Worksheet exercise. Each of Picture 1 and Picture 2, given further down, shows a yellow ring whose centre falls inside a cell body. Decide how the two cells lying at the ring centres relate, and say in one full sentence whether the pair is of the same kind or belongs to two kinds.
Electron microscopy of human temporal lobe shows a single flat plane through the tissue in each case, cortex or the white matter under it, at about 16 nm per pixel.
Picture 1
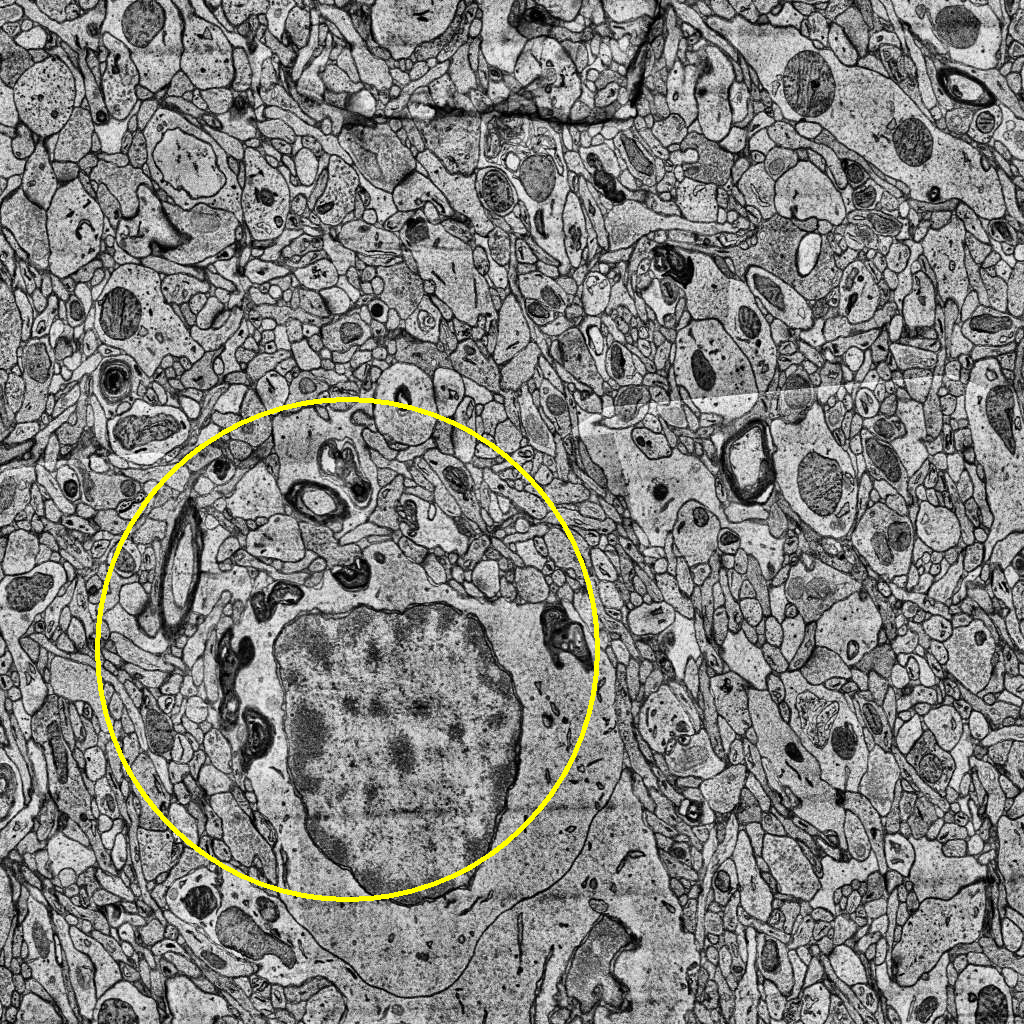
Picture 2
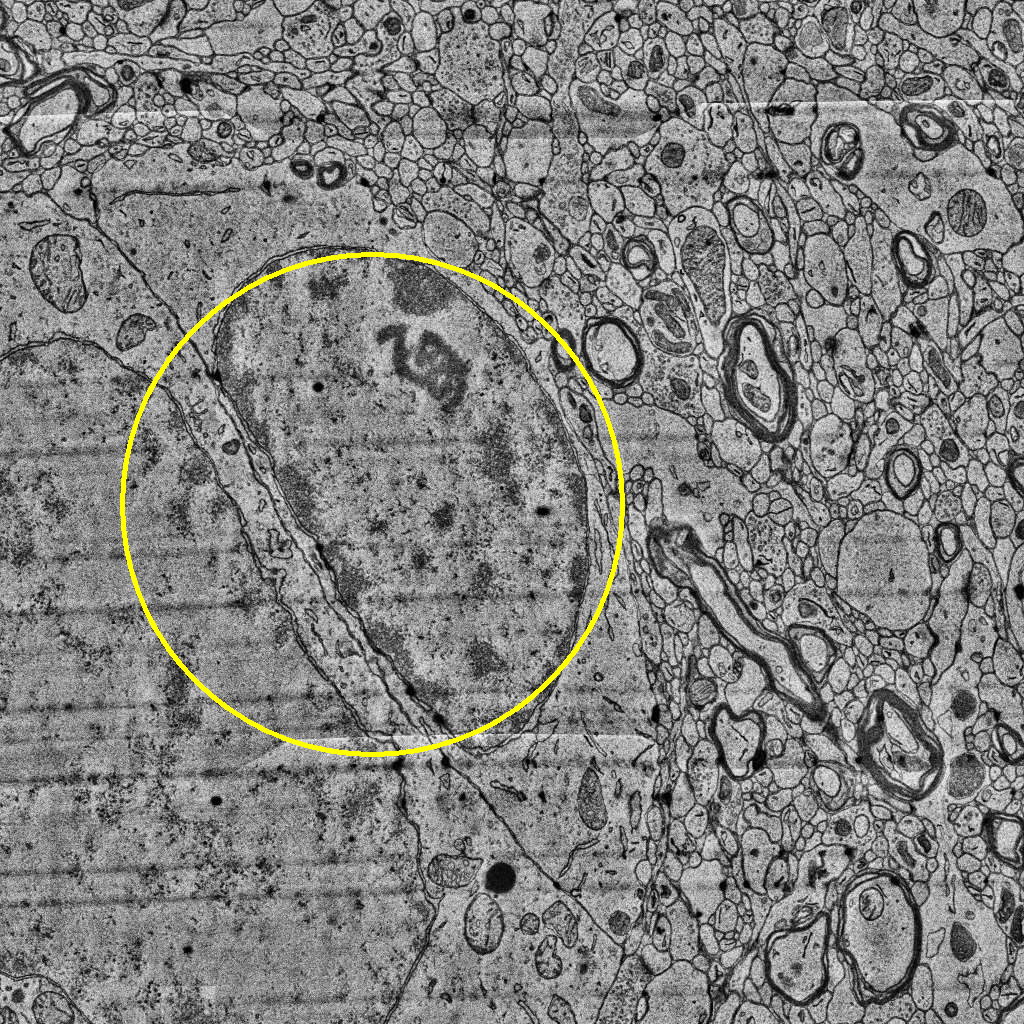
The cells at the ring centres in Picture 1 and Picture 2 are of the same kind.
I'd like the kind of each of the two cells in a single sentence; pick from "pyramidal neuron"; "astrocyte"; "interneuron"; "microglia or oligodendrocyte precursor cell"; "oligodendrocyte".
Each cell, in the first picture and the second, is a microglial cell or oligodendrocyte precursor cell.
